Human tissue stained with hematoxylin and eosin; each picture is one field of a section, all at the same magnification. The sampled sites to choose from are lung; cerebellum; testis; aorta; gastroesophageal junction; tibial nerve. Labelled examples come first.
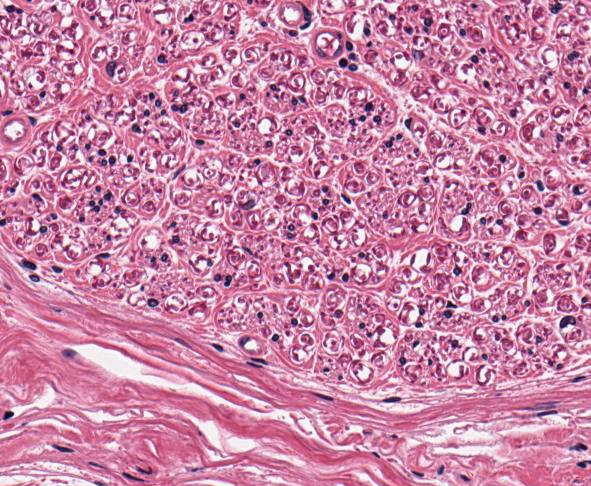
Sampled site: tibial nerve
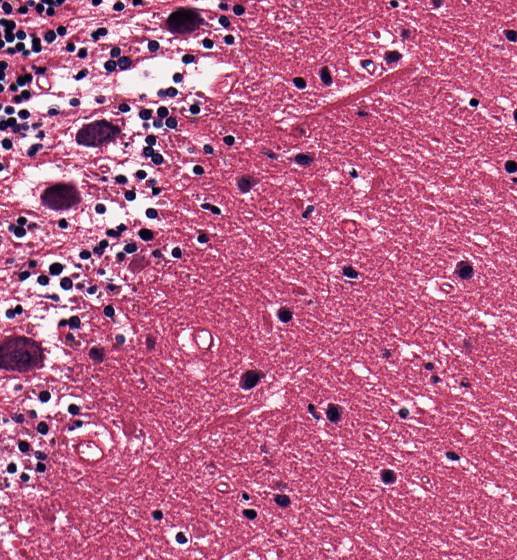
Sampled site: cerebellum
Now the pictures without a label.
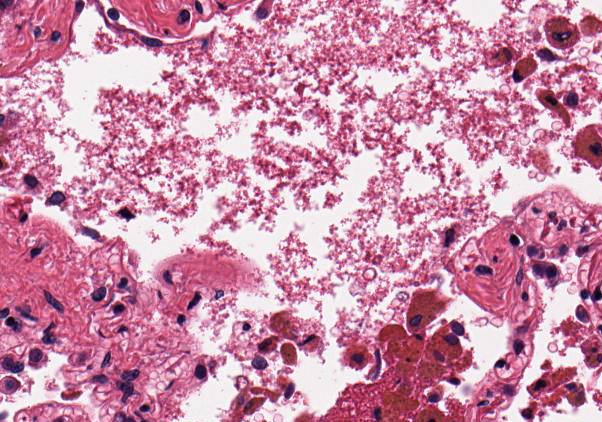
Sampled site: lung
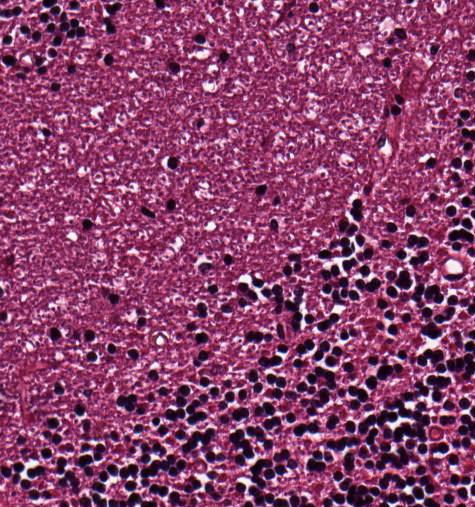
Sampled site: cerebellum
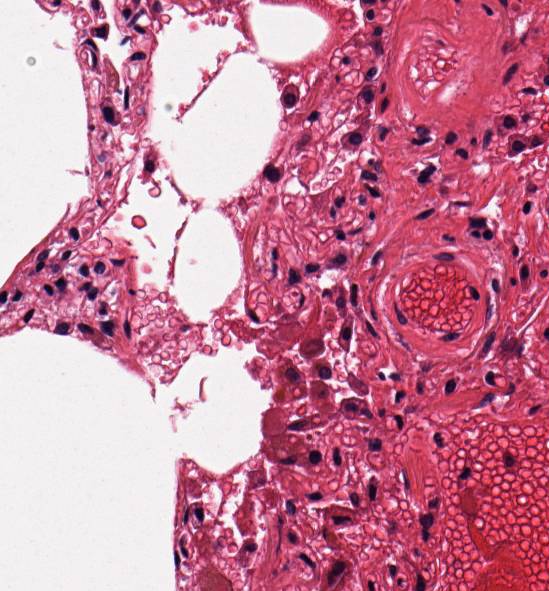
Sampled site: lung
